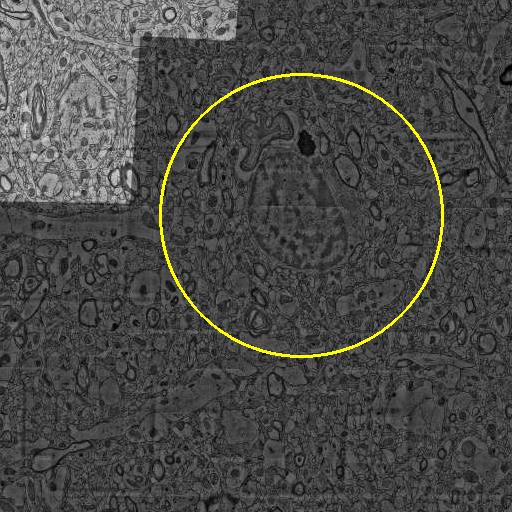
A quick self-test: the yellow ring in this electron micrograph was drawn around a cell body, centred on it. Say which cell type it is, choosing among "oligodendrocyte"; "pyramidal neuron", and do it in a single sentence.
The yellow-ringed cell is an oligodendrocyte.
